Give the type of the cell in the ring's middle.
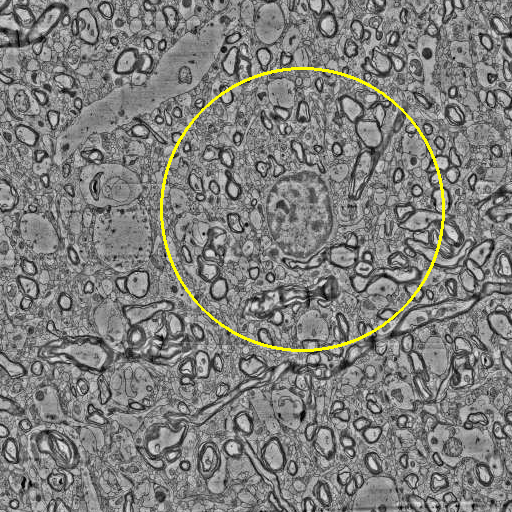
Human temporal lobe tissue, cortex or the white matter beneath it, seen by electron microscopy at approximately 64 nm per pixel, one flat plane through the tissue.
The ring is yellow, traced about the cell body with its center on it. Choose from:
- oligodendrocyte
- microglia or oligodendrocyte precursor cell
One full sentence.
Here, an oligodendrocyte is the cell lying at the center of the yellow ring.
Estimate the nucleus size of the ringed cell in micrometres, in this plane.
In this plane, the nucleus of the cell at the centre of the ring measures about 5 by 4 micrometres.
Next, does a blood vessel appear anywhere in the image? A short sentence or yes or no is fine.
No, none appears.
